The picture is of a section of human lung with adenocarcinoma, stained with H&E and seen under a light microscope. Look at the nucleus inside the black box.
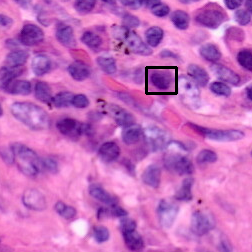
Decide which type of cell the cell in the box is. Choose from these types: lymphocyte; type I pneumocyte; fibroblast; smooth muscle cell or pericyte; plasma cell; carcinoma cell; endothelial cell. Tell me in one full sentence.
The identity of the cell in the box is that of a plasma cell.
